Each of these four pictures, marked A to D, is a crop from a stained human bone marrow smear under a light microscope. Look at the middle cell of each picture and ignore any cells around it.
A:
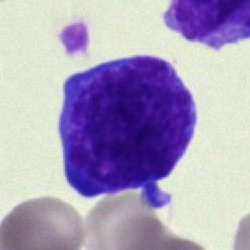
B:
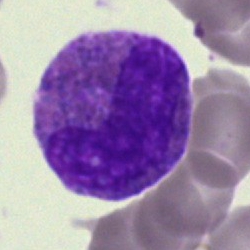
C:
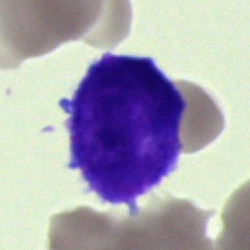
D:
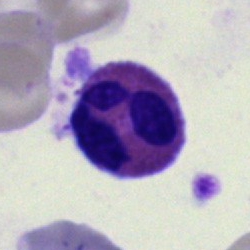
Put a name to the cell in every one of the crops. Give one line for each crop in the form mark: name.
A: blast
B: eosinophil
C: blast
D: eosinophil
